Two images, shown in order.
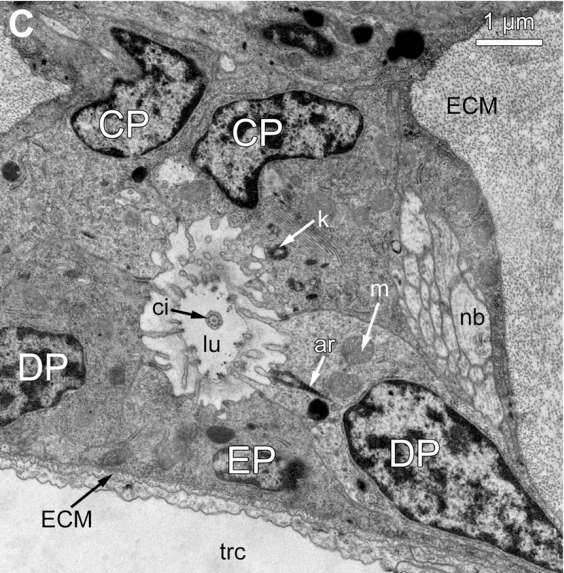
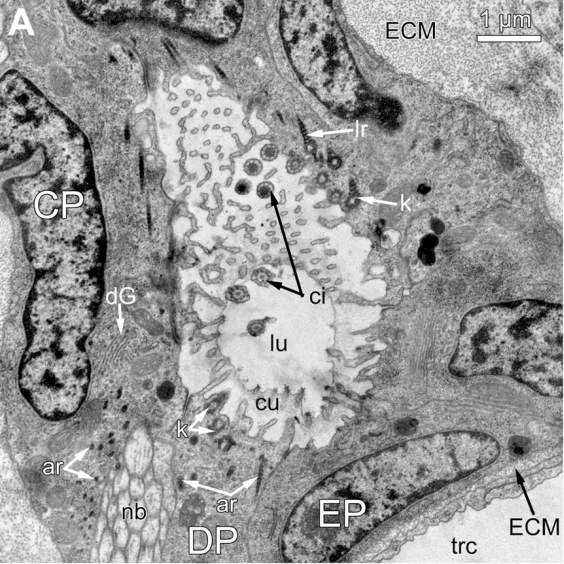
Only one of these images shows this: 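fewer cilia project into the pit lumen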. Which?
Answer: the first image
